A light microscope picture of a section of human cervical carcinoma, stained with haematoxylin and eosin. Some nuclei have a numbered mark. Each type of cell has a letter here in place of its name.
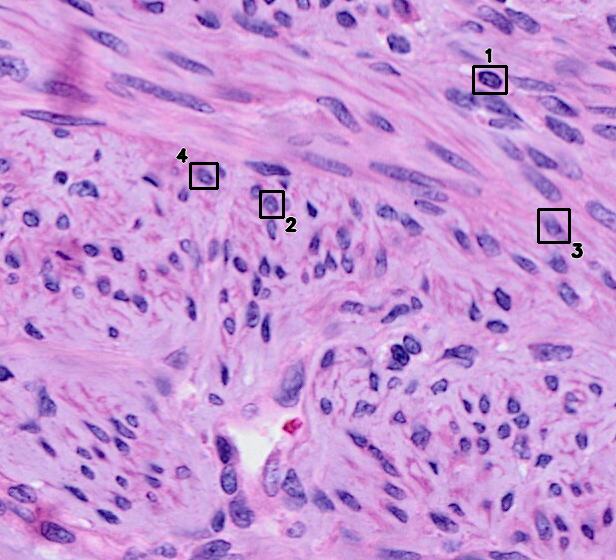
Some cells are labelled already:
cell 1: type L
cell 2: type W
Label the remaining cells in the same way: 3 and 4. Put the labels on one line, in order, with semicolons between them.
type W; type W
